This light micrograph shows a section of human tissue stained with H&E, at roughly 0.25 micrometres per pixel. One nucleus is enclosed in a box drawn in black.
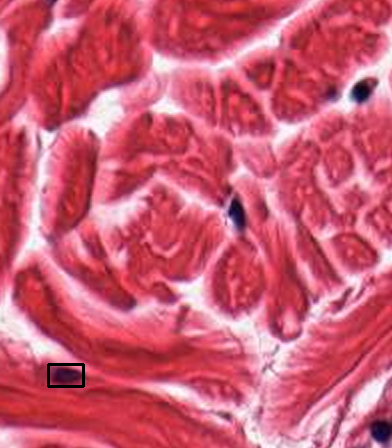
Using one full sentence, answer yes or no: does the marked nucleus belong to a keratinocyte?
No, the marked nucleus is not borne by a keratinocyte; it is borne by a supporting cell.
